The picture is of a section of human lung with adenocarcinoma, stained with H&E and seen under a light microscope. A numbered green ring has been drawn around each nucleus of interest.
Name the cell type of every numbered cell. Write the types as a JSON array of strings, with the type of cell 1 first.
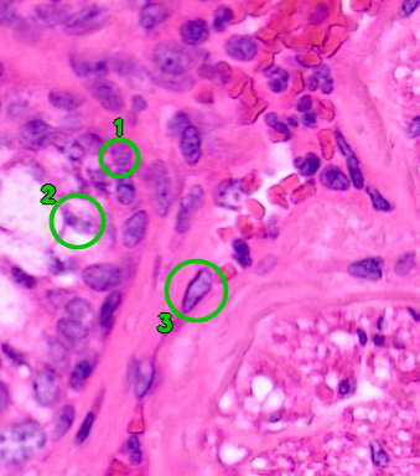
["ciliated epithelial cell", "ciliated epithelial cell", "endothelial cell"]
